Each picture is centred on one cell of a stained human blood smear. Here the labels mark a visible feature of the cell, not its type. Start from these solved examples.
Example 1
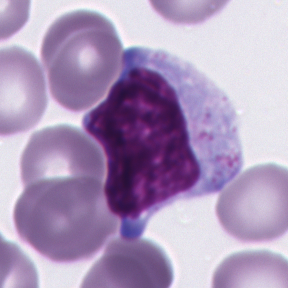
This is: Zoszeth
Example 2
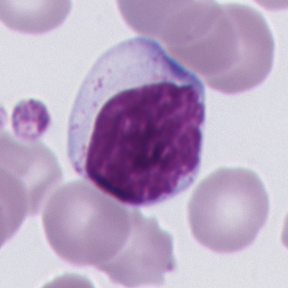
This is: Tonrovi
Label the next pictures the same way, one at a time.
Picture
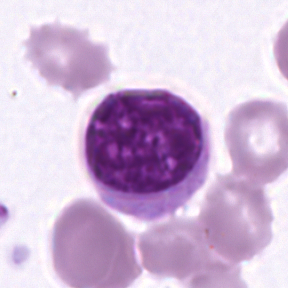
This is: Tonrovi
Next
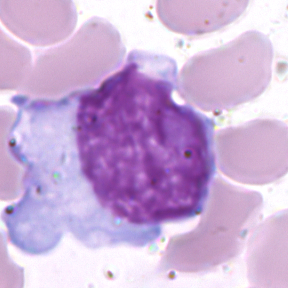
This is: Zoszeth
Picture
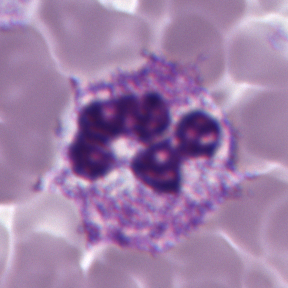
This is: Zoszeth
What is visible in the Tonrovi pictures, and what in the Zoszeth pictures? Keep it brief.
Tonrovi, smooth outline; Zoszeth, ragged outline or projections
